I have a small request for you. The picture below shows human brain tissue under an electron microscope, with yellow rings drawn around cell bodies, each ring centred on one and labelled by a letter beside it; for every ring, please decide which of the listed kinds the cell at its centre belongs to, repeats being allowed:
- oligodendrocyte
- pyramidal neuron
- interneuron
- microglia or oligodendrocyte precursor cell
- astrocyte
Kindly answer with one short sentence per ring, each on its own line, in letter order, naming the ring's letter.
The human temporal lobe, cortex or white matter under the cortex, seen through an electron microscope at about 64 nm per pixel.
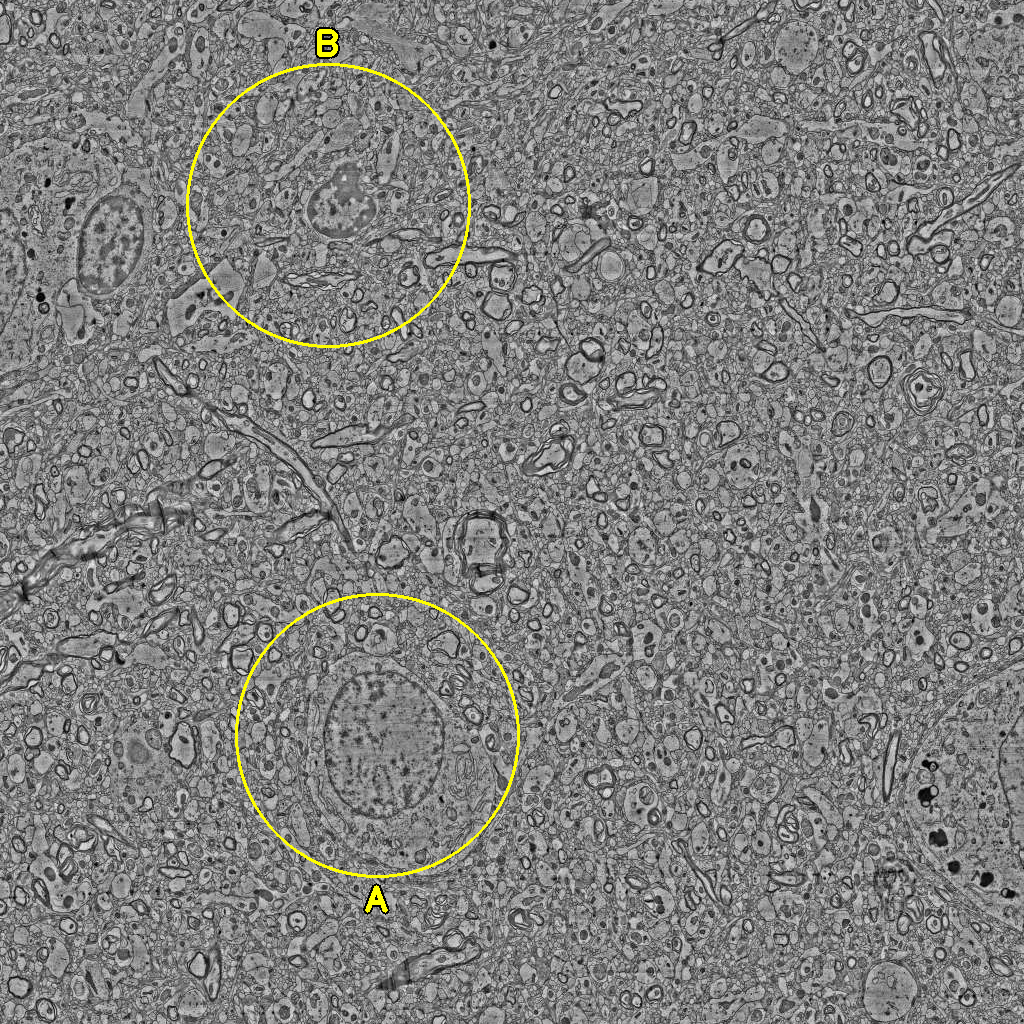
Ring A shows an interneuron at its centre.
Ring B shows a microglial cell or oligodendrocyte precursor cell at its centre.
